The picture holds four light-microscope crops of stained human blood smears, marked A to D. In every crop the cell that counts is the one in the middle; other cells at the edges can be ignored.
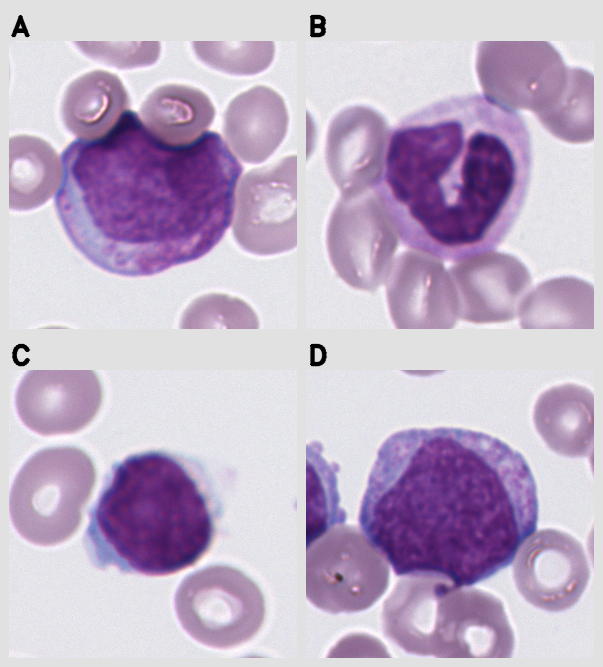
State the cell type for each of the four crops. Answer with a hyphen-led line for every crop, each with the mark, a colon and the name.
- A: atypical promyelocyte
- B: band neutrophil
- C: typical lymphocyte
- D: promyelocyte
